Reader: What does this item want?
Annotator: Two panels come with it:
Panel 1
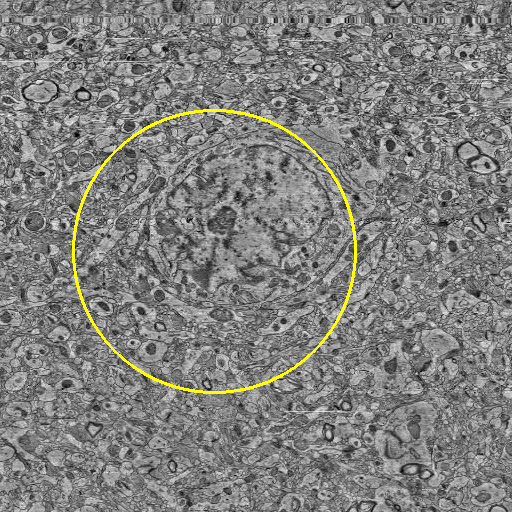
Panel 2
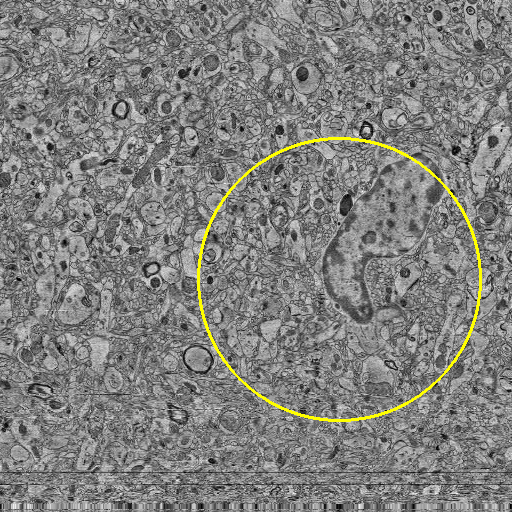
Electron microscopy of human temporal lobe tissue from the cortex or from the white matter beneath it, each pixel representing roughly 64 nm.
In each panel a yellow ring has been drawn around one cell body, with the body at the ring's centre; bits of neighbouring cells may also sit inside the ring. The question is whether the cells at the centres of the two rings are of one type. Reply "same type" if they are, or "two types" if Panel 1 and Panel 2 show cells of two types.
two types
